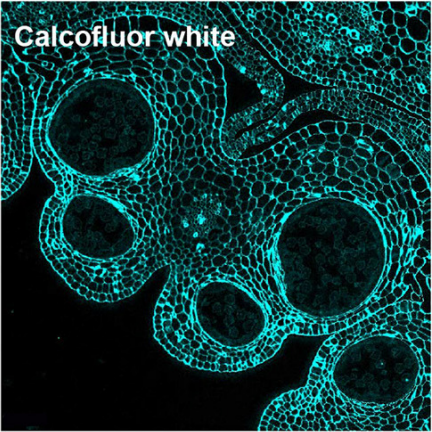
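A cross section of an anther shows several rounded chambers arranged around a central region, each bounded by layers of small polygonal cells whose walls stain bright cyan. Inside the chambers lie loose rounded microspores with faint outlines, separated from the chamber walls. Elongated curved tissue of neighbouring floral parts lies along the upper right.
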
